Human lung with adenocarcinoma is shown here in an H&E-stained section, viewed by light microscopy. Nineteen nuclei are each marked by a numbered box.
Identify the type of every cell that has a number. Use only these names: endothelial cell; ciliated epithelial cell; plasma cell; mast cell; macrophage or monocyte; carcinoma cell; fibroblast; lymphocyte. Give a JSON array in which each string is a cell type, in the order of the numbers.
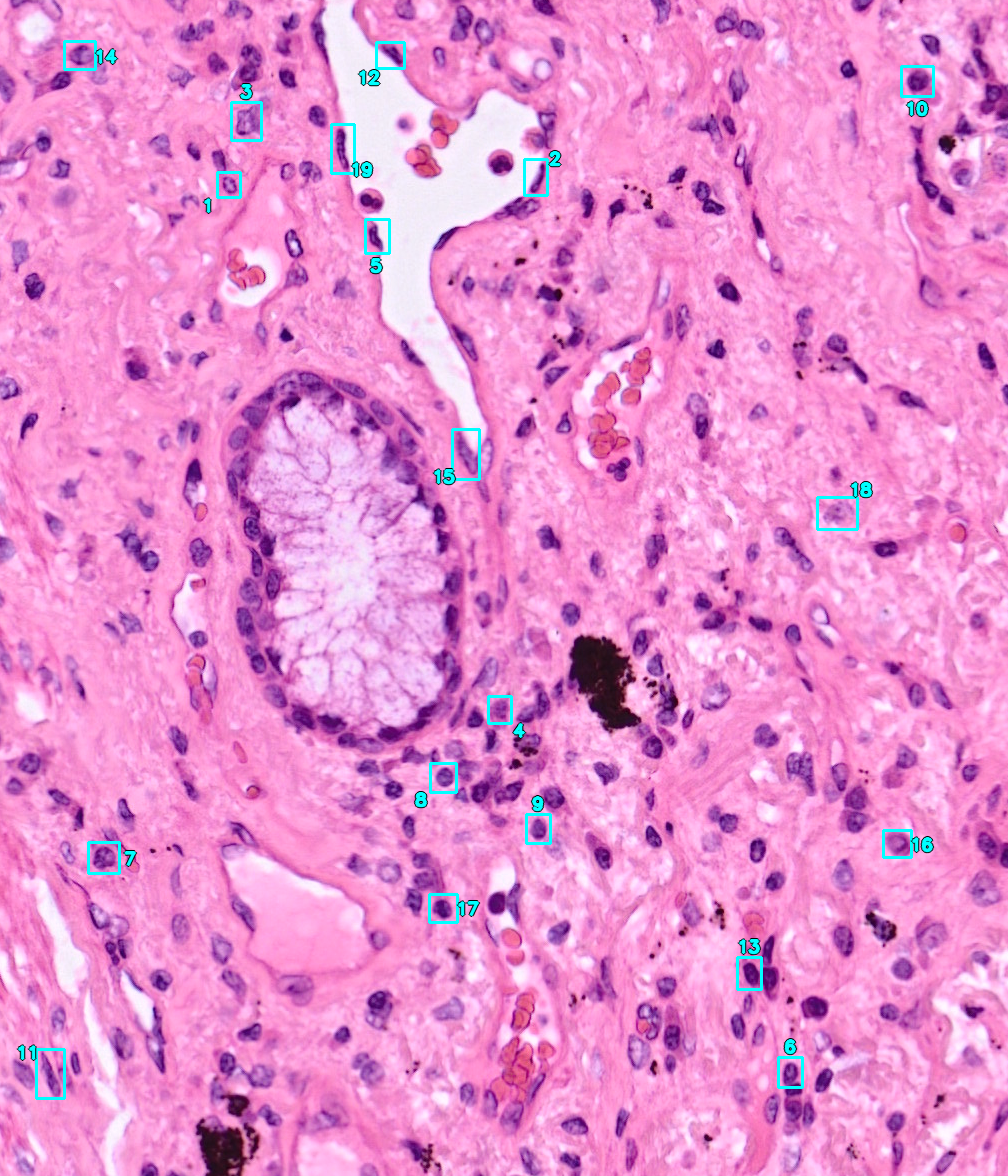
["mast cell", "endothelial cell", "fibroblast", "plasma cell", "endothelial cell", "lymphocyte", "plasma cell", "lymphocyte", "lymphocyte", "plasma cell", "fibroblast", "endothelial cell", "plasma cell", "mast cell", "endothelial cell", "plasma cell", "lymphocyte", "fibroblast", "endothelial cell"]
